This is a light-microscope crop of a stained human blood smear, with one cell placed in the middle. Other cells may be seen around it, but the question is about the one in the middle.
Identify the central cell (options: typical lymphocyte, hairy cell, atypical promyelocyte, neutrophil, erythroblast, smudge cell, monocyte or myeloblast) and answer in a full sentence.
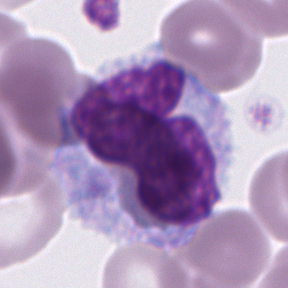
Classified as a monocyte is the cell in the middle of this crop.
